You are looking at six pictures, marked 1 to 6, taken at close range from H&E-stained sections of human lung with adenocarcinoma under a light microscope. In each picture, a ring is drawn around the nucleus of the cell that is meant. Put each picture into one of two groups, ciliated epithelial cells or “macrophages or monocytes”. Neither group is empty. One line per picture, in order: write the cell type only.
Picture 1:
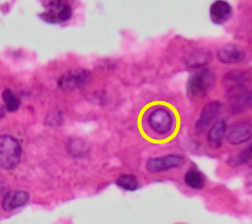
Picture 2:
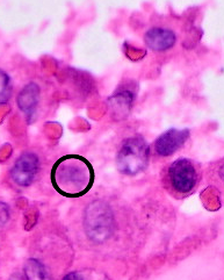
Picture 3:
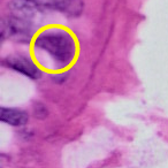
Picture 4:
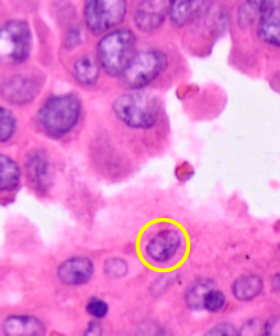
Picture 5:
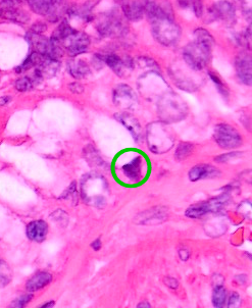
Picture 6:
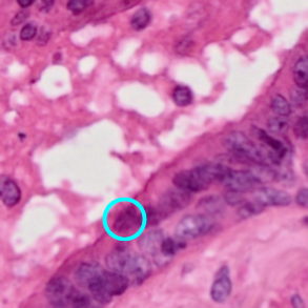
macrophage or monocyte
macrophage or monocyte
ciliated epithelial cell
macrophage or monocyte
ciliated epithelial cell
ciliated epithelial cell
